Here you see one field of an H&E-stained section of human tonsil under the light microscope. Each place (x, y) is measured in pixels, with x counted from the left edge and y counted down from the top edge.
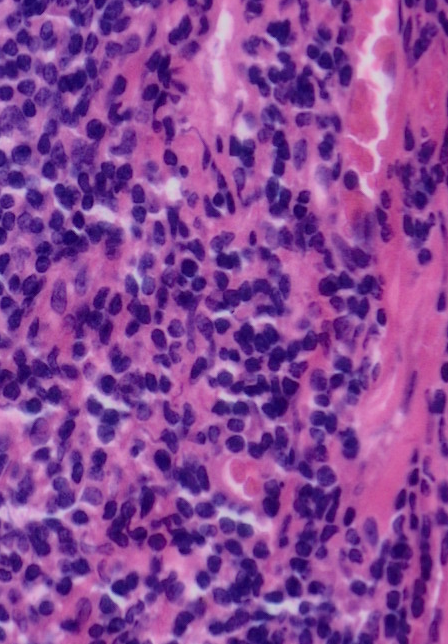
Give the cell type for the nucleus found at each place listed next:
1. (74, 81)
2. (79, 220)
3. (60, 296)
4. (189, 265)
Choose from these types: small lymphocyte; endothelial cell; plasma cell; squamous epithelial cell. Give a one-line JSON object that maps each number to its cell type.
{"1": "small lymphocyte", "2": "small lymphocyte", "3": "endothelial cell", "4": "small lymphocyte"}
